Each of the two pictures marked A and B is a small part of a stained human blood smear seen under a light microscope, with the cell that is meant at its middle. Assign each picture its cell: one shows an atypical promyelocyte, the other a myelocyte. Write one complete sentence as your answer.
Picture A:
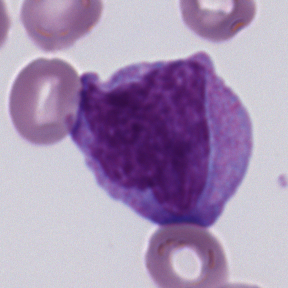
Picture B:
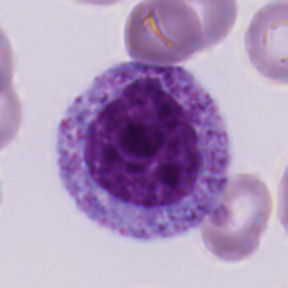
Picture A is of an atypical promyelocyte, and picture B is of a myelocyte.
